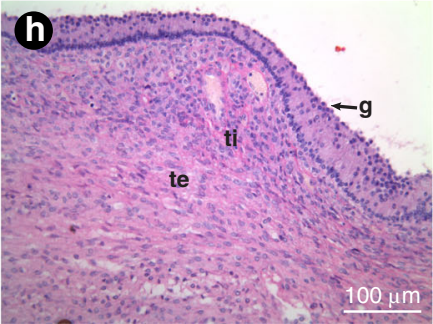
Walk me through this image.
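A stratified granulosa layer of small cells with dark purple, round nuclei follows the curving free surface of the tissue. Its deepest row of nuclei forms a dark, continuous line over the layer beneath. Below lies the theca interna, where cells with rounder nuclei and pinker cytoplasm cluster around small vessels. The deepest part is the theca externa, a pink fibrous stroma with elongated, spindle-shaped cells arranged in loose strands. The section thus shows the layered wall of a follicle, with the epithelial lining on top of two thecal layers.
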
